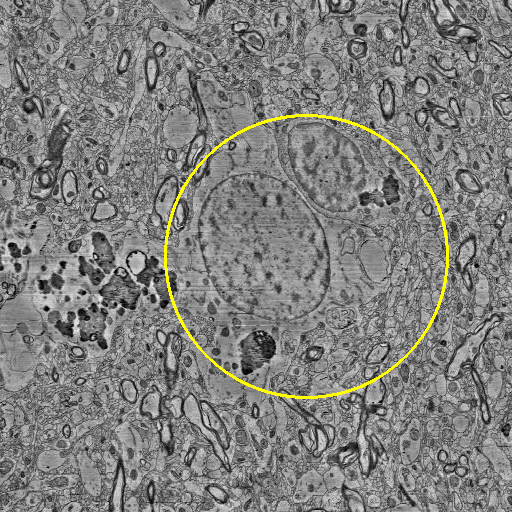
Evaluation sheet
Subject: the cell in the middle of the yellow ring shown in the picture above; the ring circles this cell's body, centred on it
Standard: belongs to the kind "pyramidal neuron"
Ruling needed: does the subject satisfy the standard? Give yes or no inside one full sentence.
No, the cell in the middle of the ring in the picture above belongs to some other kind.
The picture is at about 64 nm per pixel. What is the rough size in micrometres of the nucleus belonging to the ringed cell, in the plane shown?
In this plane the nucleus measures roughly 10 by 8 micrometers.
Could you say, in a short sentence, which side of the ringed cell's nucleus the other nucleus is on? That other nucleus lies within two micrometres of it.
The second nucleus lies to the upper right of it.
